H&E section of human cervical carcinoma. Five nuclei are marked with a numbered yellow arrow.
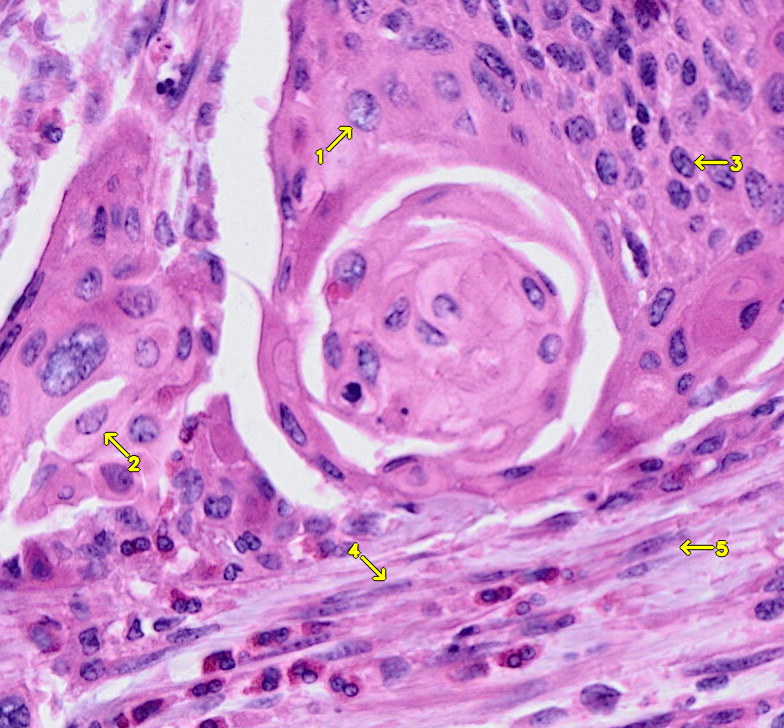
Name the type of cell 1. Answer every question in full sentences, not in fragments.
Numbered cell 1 is a squamous carcinoma cell in this tissue section.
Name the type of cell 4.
The marked cell with the number 4 is recognised as a fibroblast.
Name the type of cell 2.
The cell identified by number 2 is a squamous carcinoma cell.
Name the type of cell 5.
The cell that goes by number 5 is a fibroblast.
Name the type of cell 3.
The marked cell bearing number 3 is a squamous carcinoma cell.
